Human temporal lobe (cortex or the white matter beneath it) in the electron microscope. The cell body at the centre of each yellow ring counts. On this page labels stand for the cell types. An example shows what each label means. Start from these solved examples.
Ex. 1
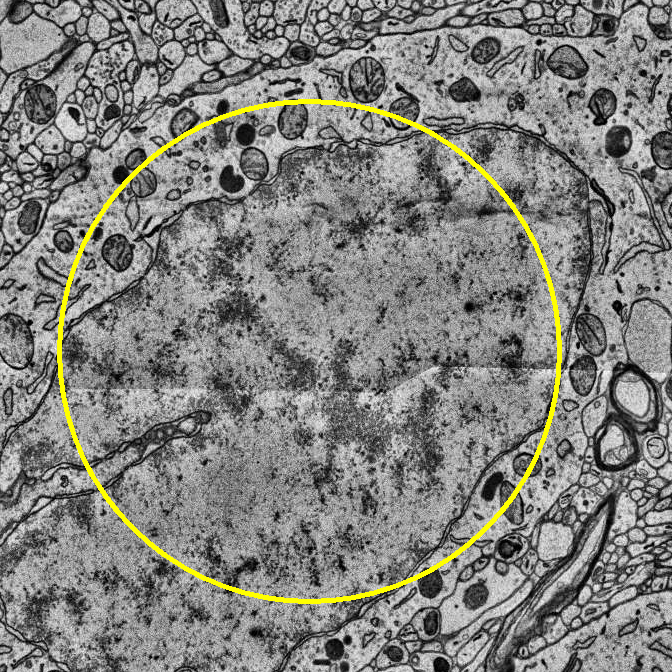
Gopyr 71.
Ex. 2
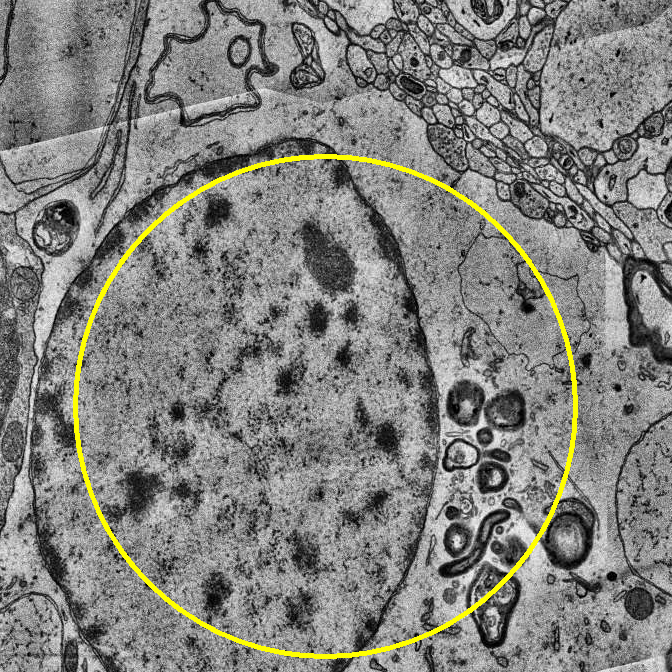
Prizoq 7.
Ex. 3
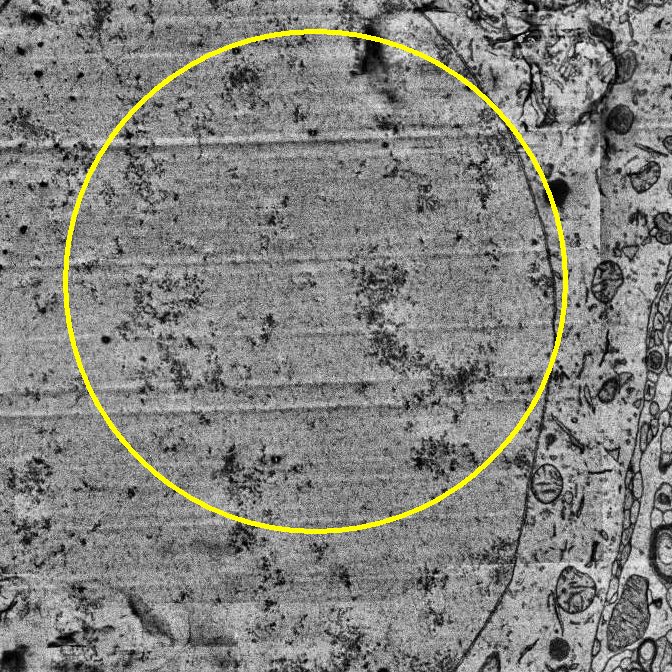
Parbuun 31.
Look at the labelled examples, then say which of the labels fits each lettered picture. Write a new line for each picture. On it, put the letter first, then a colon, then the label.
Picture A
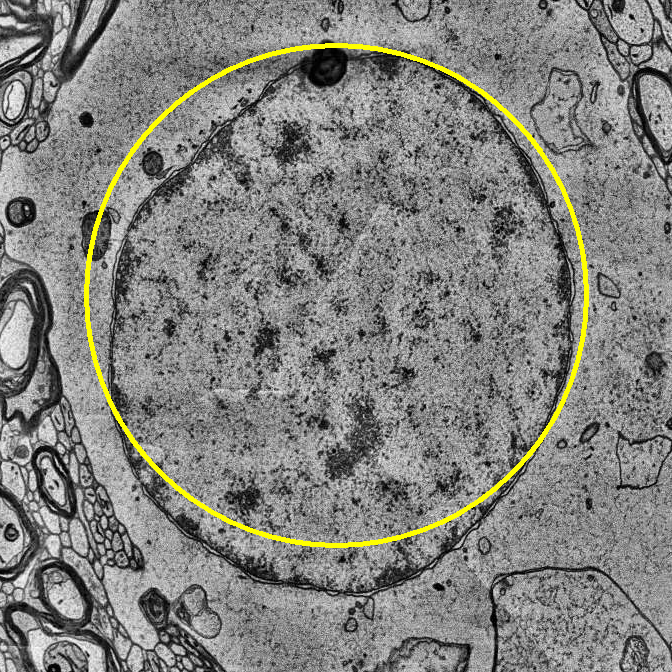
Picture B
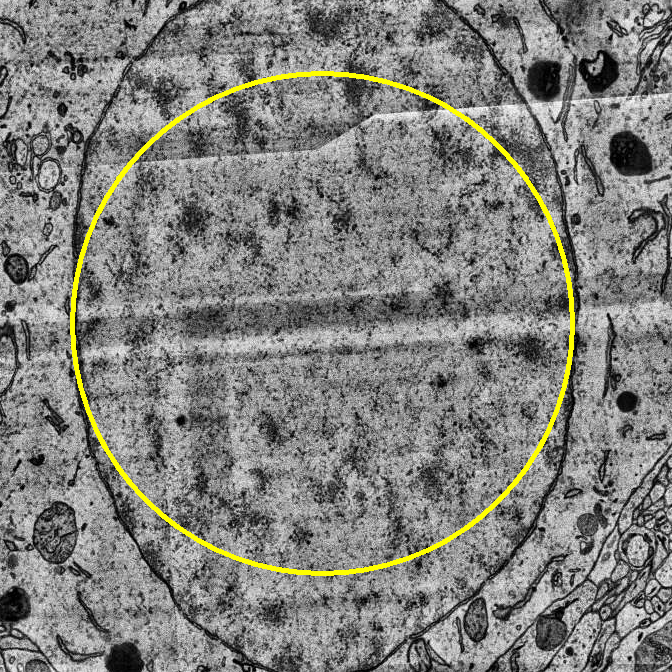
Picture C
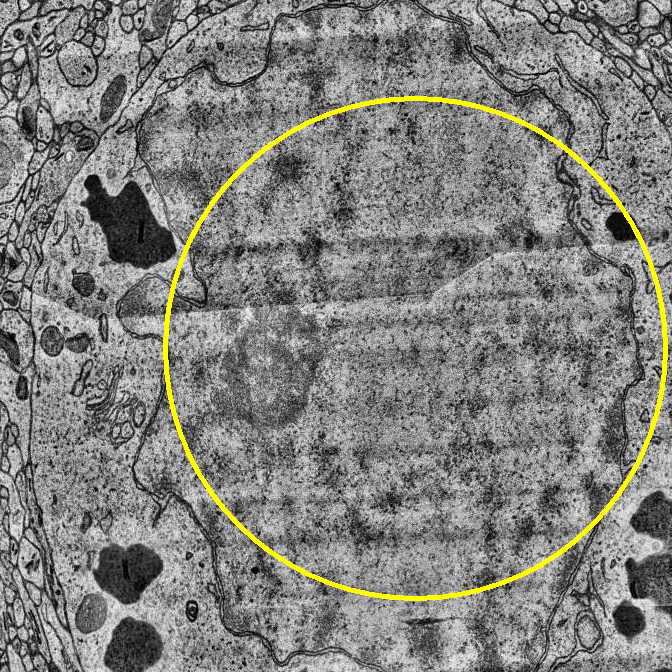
A: Prizoq 7.
B: Parbuun 31.
C: Gopyr 71.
